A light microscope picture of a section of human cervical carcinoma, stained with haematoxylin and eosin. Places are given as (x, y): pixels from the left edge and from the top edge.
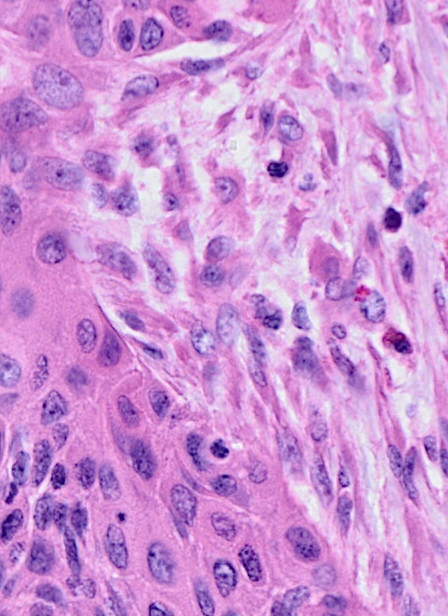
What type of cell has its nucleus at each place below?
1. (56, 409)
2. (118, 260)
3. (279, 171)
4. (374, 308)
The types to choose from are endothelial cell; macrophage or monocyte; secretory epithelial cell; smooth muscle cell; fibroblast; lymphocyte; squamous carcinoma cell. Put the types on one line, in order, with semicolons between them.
squamous carcinoma cell; fibroblast; lymphocyte; endothelial cell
